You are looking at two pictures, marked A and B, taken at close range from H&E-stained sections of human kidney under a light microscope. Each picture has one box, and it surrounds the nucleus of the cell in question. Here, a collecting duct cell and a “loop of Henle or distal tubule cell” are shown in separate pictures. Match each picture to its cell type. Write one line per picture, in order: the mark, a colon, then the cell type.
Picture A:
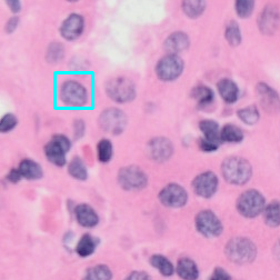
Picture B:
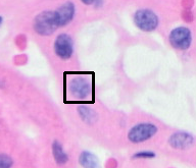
A: loop of Henle or distal tubule cell
B: collecting duct cell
